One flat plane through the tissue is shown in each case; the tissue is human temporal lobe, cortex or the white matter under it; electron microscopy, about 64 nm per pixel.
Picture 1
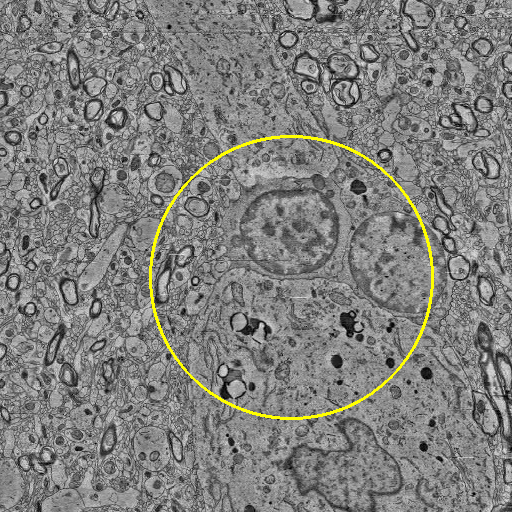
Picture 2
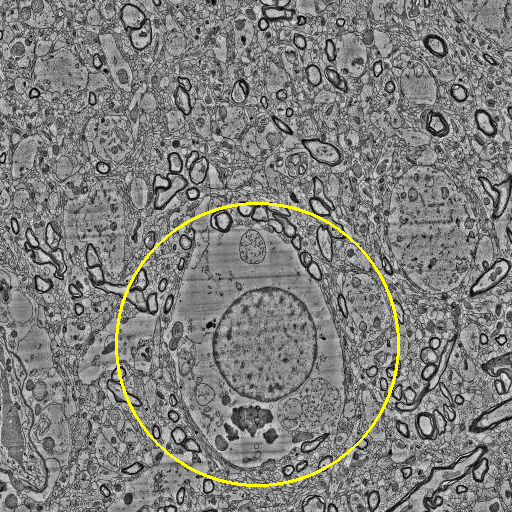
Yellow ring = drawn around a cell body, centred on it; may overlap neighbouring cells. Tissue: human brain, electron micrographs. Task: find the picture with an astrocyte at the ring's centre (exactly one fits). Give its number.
2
